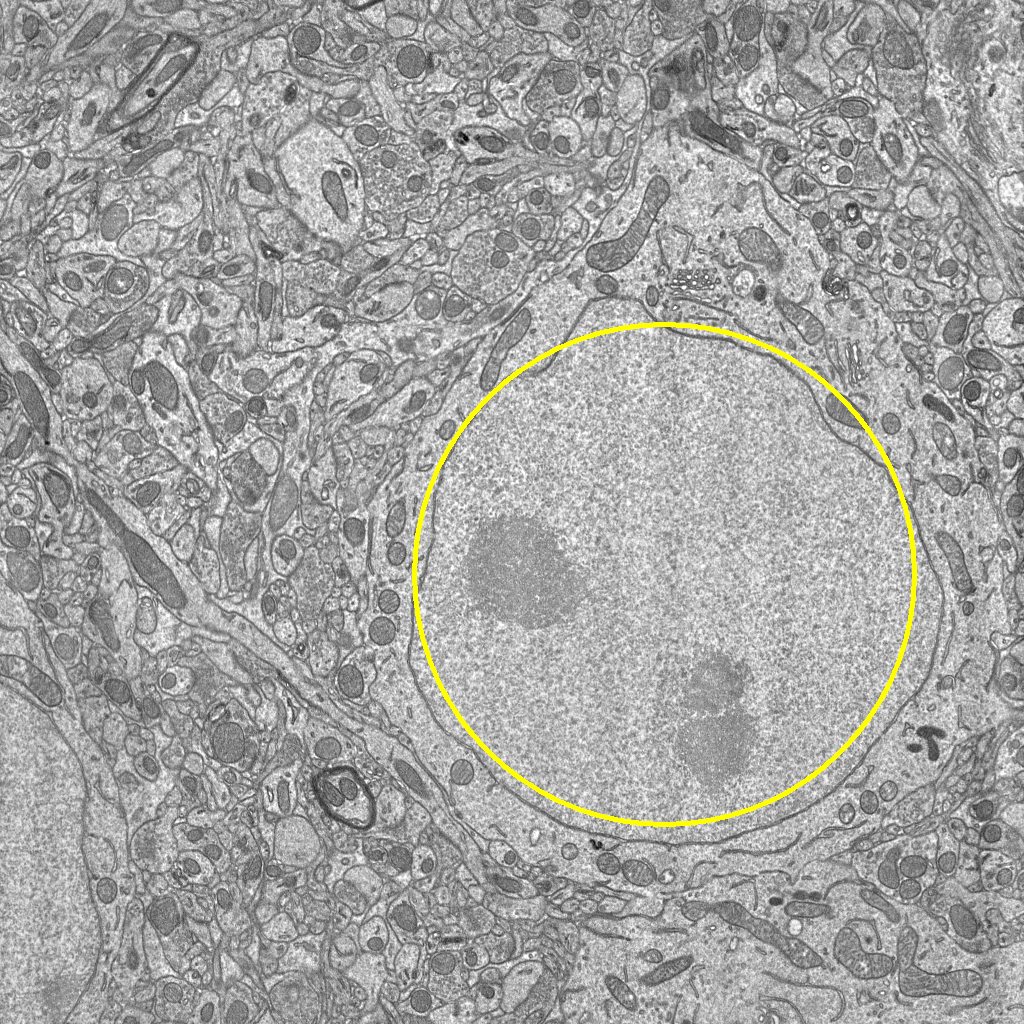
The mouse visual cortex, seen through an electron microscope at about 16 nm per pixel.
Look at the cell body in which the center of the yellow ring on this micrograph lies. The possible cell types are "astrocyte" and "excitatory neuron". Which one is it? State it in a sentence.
The cell at the middle of the ring is an excitatory neuron.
